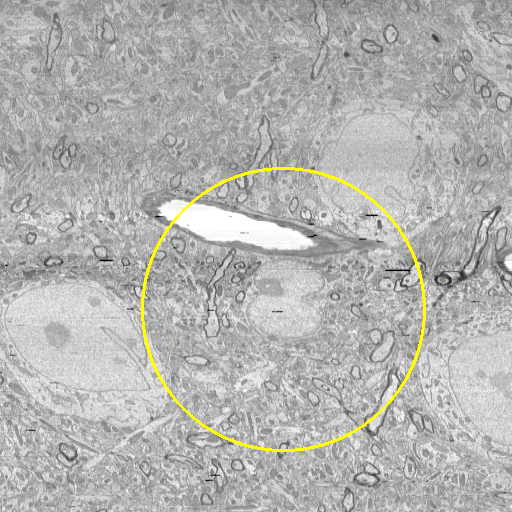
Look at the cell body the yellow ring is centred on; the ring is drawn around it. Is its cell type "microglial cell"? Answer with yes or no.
No, its cell type is another.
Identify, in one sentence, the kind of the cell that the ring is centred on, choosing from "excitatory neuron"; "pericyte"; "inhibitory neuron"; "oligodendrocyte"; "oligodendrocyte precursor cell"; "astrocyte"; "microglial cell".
The cell at the ring centre is an astrocyte.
